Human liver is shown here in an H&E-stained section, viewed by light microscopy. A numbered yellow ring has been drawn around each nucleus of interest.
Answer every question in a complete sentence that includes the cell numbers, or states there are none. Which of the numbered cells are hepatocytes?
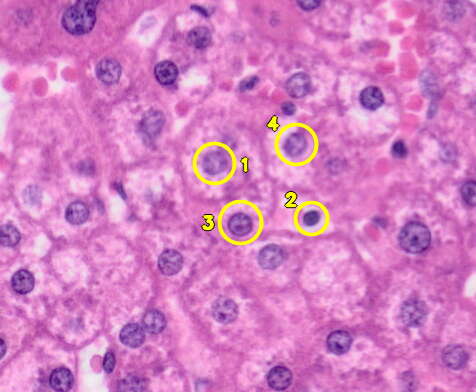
The cells whose numbers are 1, 3 and 4 are hepatocytes.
